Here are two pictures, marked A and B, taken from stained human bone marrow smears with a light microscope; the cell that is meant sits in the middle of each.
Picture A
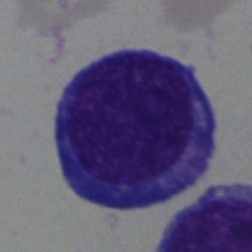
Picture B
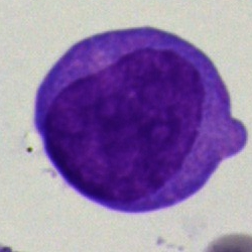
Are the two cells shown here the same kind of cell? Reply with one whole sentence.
Yes, the two pictures both show blasts.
